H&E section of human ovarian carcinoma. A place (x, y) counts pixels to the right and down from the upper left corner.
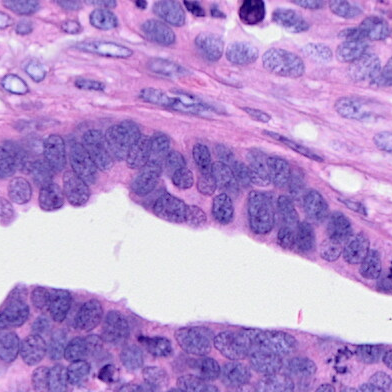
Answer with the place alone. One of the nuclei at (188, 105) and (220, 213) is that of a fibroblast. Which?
(188, 105)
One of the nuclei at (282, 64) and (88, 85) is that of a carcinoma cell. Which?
(282, 64)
